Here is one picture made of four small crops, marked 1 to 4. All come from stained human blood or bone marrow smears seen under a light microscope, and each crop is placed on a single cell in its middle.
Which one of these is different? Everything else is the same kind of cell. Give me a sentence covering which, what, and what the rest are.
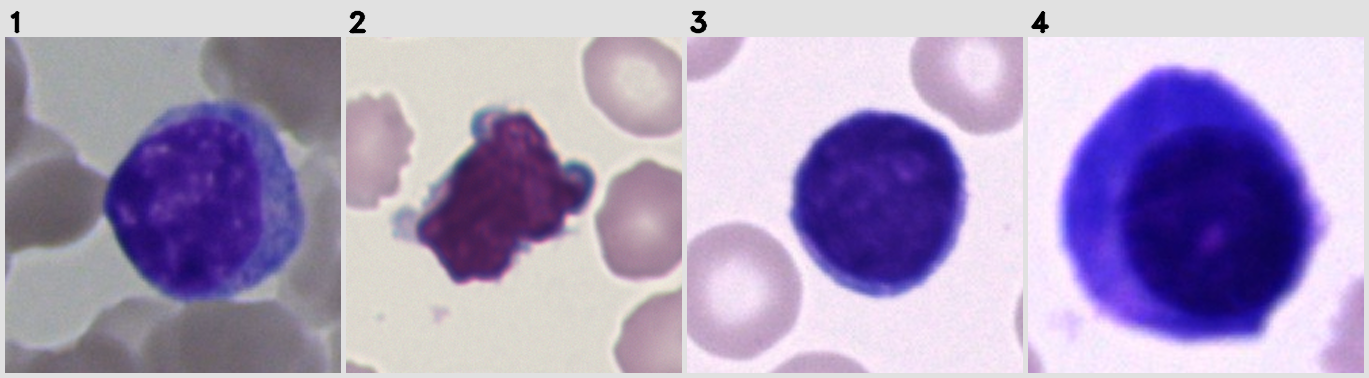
All the crops show lymphocytes except crop 4, which shows a plasma cell.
